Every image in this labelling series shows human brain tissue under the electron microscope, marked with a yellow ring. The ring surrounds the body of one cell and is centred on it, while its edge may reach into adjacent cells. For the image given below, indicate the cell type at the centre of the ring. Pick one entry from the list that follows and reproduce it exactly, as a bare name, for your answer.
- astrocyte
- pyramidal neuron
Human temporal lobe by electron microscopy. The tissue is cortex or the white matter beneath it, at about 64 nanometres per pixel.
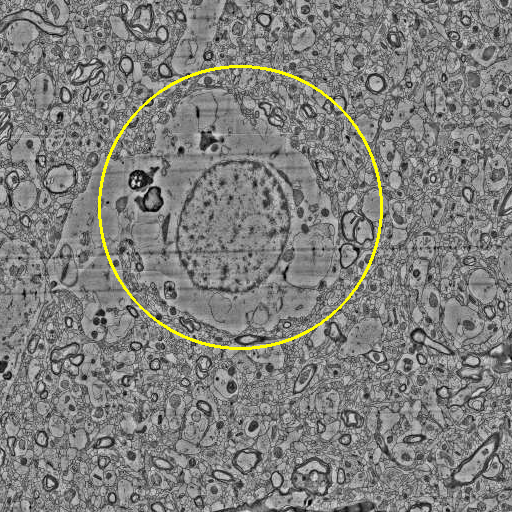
astrocyte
